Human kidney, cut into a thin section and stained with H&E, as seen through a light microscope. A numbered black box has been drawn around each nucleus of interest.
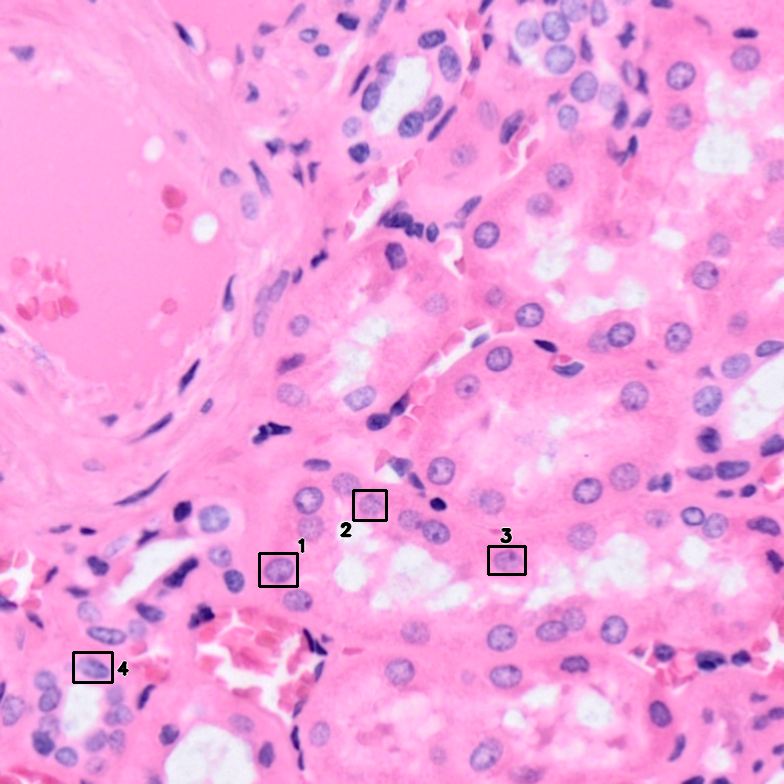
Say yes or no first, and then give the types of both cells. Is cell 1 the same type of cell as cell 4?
No, cell 1 is a proximal tubule cell; as for cell 4, that one is a collecting duct cell.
